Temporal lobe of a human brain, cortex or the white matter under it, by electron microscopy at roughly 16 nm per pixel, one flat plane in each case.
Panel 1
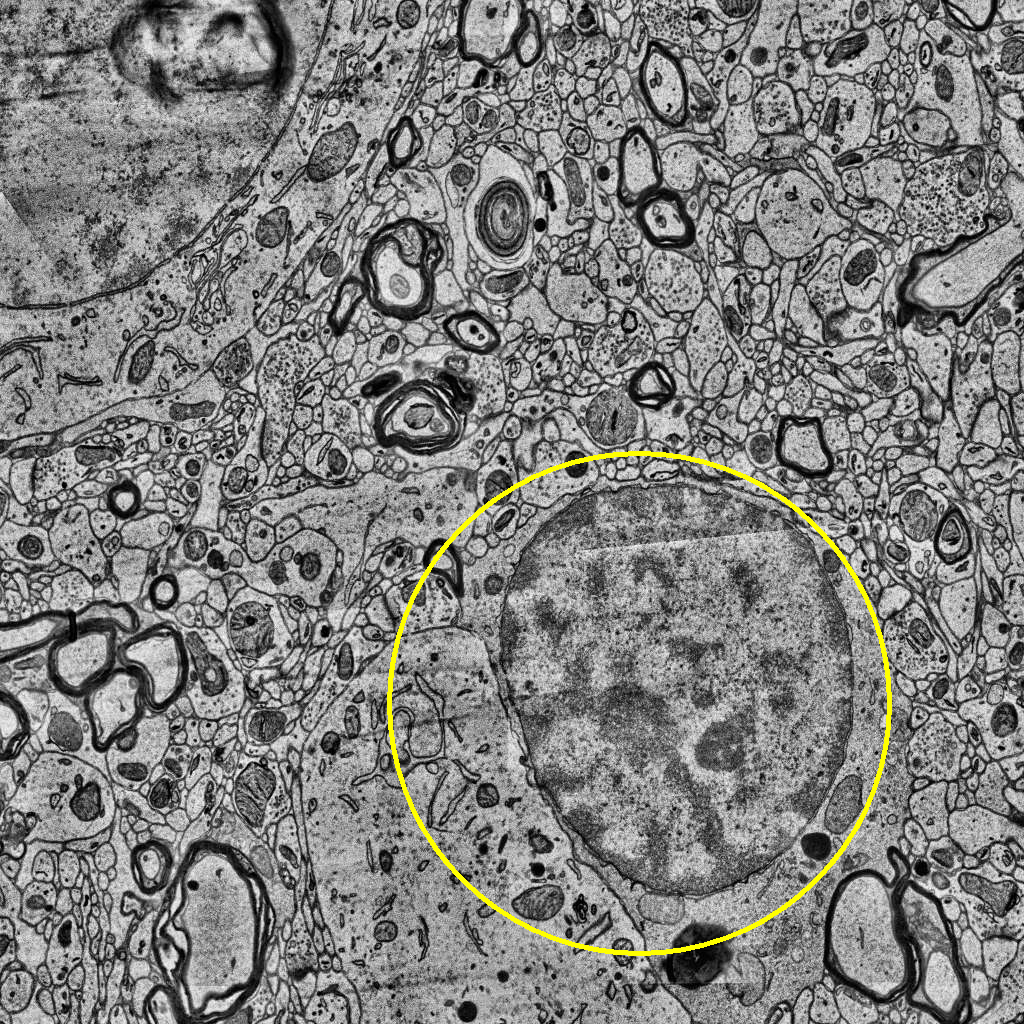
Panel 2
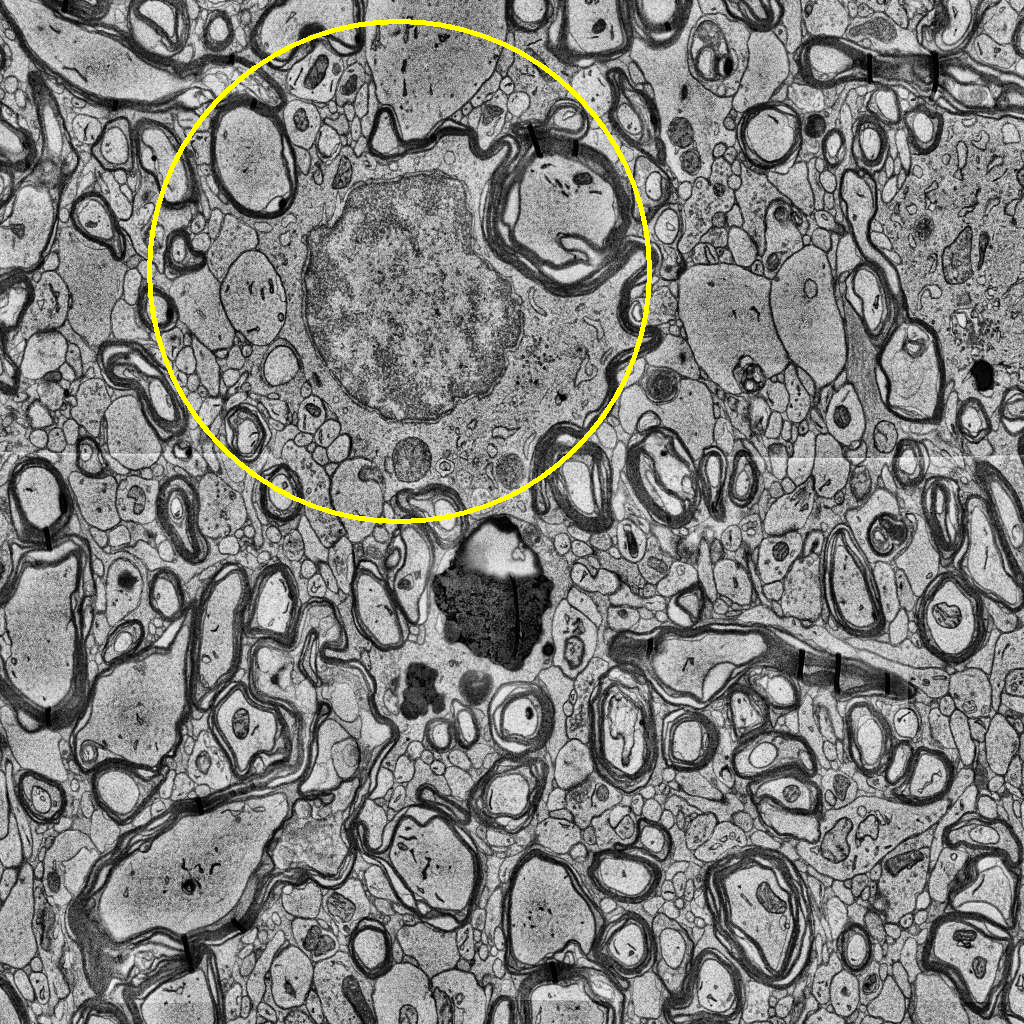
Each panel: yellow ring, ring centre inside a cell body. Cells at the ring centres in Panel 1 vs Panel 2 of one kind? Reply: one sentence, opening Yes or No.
Yes, Panel 1 and Panel 2 have cells of one kind at the ring centres.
